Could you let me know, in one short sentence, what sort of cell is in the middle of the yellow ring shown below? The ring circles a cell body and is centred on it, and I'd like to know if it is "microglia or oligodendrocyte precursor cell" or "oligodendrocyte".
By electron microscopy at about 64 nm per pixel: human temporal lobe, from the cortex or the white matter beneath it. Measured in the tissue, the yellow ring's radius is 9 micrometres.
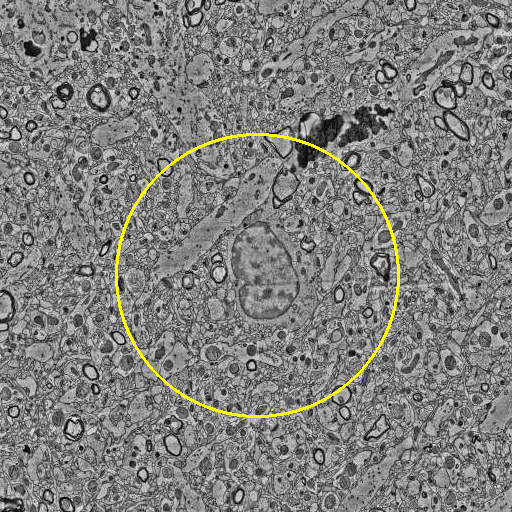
The ring circles the cell body of an oligodendrocyte.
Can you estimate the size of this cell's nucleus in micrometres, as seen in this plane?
In this plane, about 6 by 4 micrometres: the nucleus is clearly longer than it is wide.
